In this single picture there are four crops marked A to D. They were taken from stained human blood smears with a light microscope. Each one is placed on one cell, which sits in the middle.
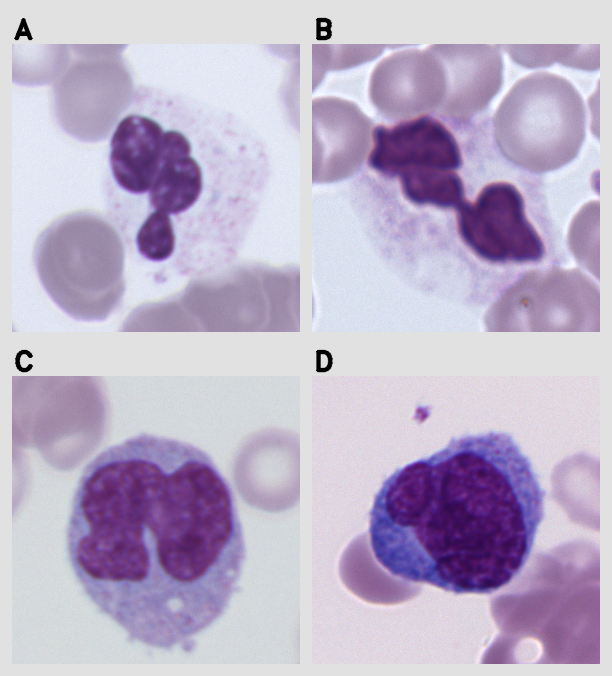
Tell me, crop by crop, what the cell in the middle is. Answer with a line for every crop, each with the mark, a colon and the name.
A: neutrophil
B: neutrophil
C: monocyte
D: monocyte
